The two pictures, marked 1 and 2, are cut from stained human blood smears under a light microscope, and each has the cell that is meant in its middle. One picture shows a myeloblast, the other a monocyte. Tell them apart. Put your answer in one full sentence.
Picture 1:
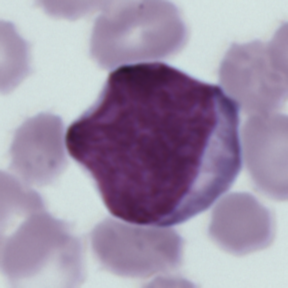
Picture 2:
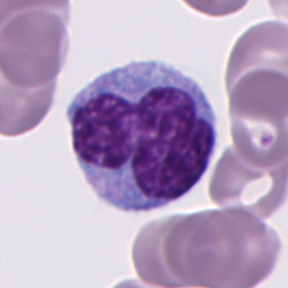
Picture 1 shows a myeloblast and picture 2 shows a monocyte.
